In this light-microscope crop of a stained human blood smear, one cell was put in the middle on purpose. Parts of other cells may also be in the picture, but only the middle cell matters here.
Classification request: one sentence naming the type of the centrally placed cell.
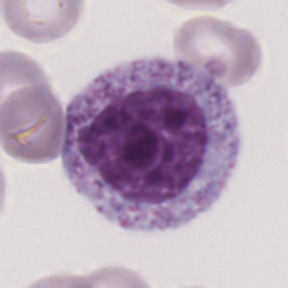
The cell occupying the middle of the crop is a myelocyte.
